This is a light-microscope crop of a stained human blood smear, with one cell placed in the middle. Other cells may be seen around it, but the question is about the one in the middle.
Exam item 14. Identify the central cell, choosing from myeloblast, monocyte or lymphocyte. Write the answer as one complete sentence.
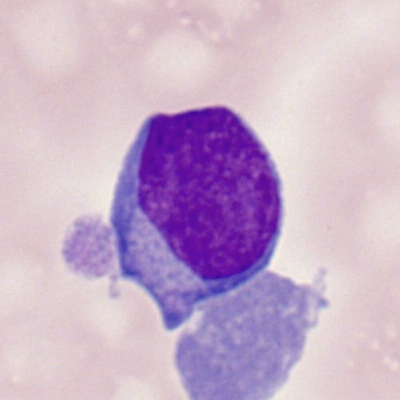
As for the central cell, it is a myeloblast.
